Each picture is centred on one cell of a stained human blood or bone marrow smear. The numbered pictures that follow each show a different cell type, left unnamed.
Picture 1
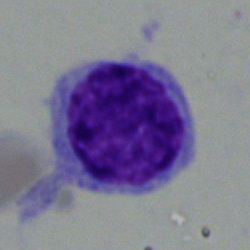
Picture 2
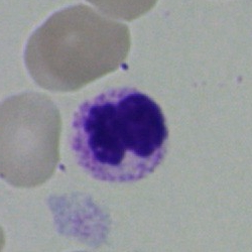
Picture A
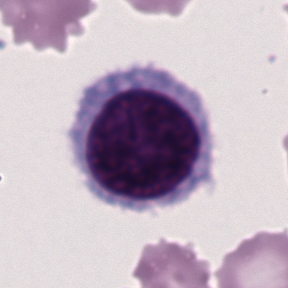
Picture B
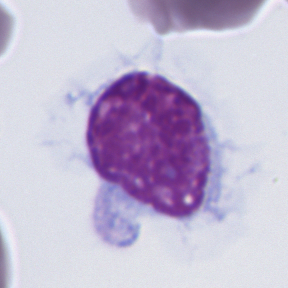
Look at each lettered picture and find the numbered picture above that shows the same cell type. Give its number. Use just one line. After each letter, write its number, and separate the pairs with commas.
A 1, B 1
